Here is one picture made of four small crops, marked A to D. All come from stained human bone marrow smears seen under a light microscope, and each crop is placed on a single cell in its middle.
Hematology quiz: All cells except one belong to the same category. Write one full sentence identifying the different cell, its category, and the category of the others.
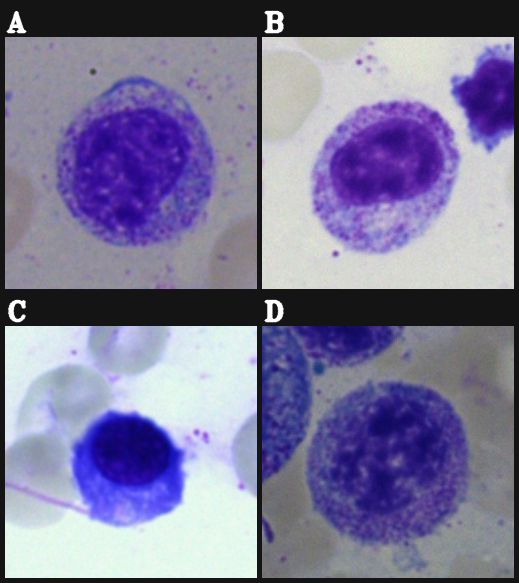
Only crop C differs, being a plasma cell, while the others all show myelocytes.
